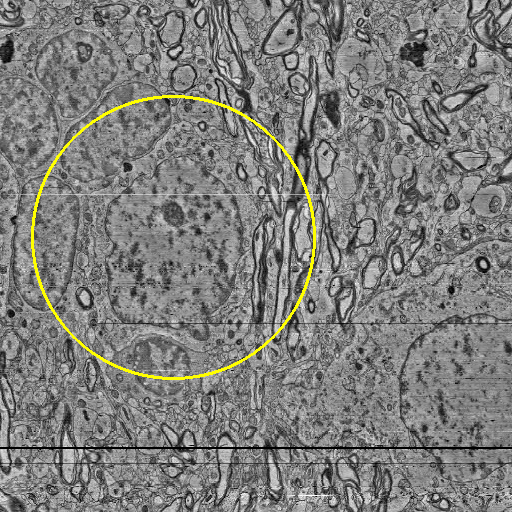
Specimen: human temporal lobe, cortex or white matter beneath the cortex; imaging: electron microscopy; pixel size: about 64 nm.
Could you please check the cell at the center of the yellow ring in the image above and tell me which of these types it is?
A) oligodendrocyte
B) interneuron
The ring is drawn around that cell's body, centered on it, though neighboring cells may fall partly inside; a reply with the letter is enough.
B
